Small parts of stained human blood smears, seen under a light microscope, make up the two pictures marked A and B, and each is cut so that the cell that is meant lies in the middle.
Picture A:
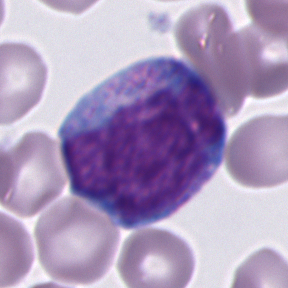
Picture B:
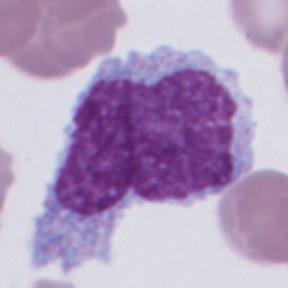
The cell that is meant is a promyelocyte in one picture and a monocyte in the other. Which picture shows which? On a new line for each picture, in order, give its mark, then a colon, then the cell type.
A: promyelocyte
B: monocyte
